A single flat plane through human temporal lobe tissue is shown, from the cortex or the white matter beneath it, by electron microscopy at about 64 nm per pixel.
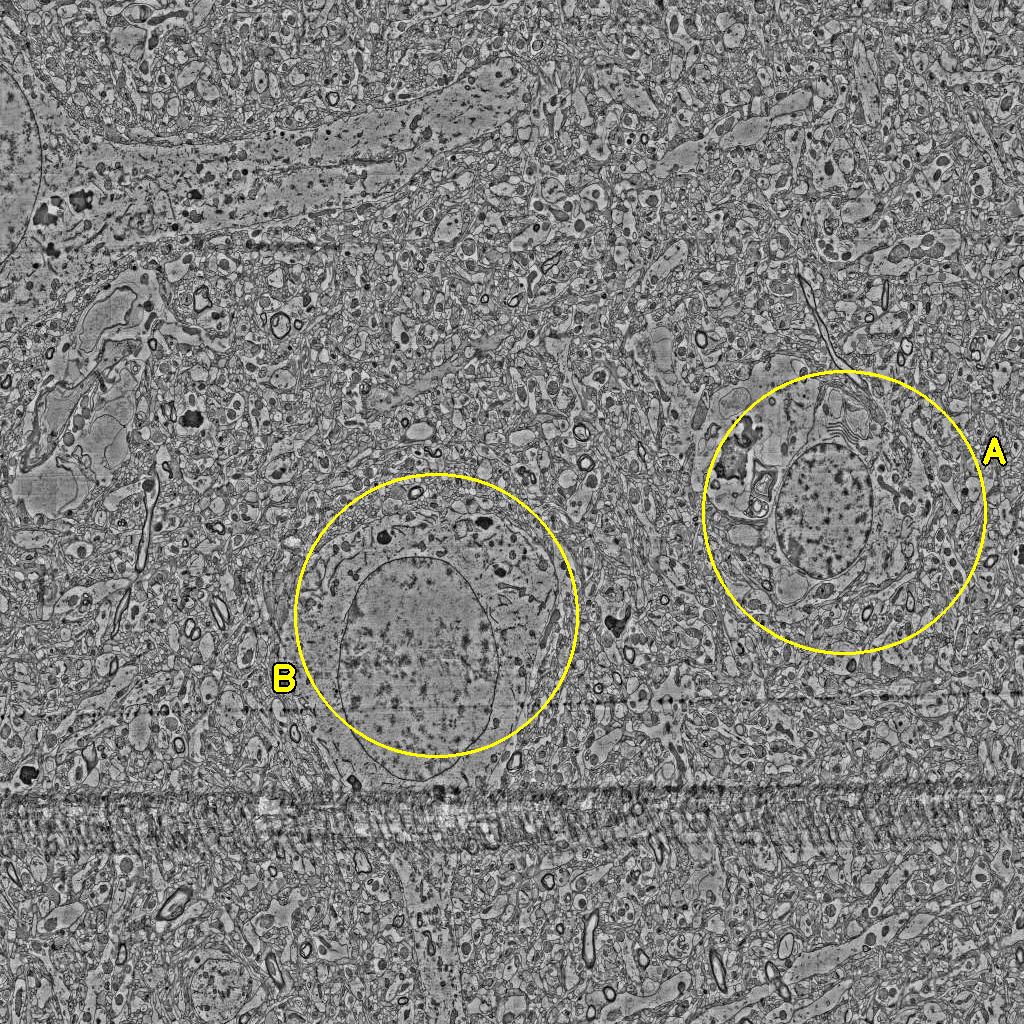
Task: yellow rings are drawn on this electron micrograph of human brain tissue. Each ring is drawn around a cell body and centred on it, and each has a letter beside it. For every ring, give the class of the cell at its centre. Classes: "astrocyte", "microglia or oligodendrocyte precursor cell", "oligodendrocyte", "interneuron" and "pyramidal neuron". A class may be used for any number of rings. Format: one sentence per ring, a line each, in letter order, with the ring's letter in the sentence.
The cell ringed as A is an astrocyte.
The cell ringed as B is a pyramidal neuron.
